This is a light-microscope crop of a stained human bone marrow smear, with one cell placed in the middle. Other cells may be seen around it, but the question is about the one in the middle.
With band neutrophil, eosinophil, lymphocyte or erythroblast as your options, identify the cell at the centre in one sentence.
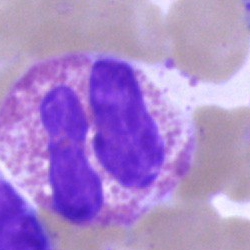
Centred in the crop is an eosinophil.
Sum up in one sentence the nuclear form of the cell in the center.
If you check the nucleus, you will find it split into two or more lobes.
